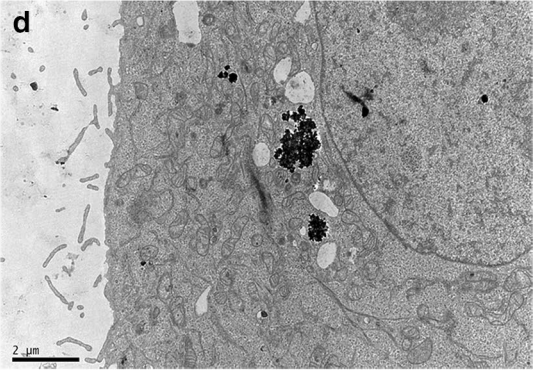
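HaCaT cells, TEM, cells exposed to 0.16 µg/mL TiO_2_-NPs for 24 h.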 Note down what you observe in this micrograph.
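Edge of a cultured cell beside the extracellular space, with slender surface projections cut in the space at left. The cytoplasm is packed with mitochondria and membrane profiles, and contains several pale rounded vesicles. Clusters of very electron-dense granular material lie within the cytoplasm near these vesicles. Part of the nucleus with its envelope occupies the upper right.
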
